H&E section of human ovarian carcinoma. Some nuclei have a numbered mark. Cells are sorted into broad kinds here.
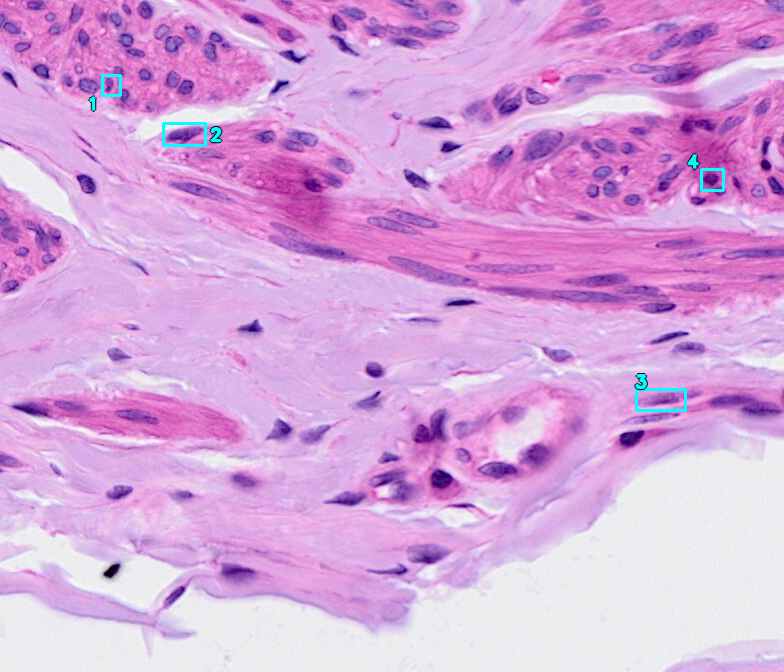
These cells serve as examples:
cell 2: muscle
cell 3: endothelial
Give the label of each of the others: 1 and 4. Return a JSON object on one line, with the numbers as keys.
{"1": "muscle", "4": "muscle"}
